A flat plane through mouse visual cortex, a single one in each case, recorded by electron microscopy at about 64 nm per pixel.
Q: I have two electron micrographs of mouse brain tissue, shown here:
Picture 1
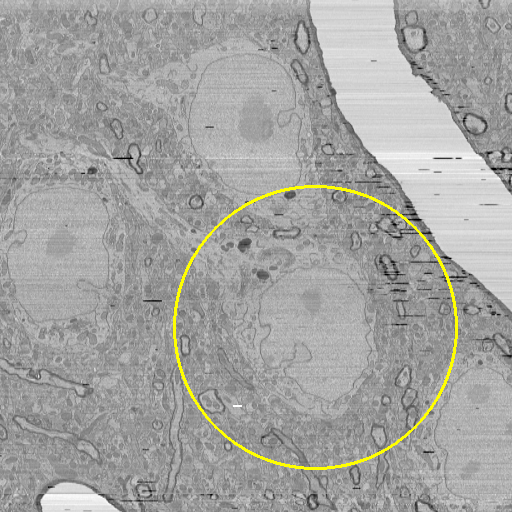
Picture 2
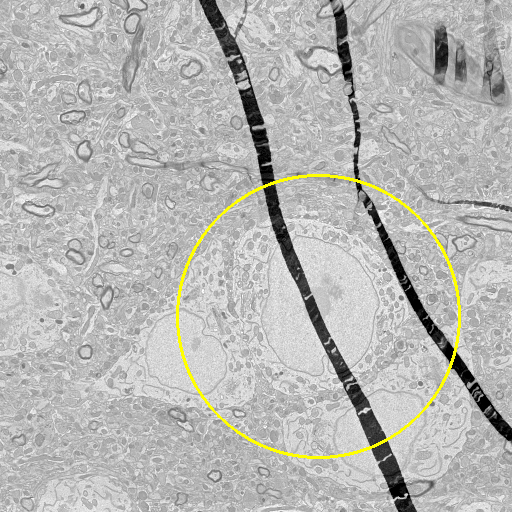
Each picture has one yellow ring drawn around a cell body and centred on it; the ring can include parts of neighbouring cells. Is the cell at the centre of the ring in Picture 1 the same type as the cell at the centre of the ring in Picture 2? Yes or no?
no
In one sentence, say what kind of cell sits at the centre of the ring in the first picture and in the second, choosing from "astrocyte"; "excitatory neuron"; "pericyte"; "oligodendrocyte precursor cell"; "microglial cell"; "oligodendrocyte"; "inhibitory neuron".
The first picture's ringed cell is an excitatory neuron, while the second picture's is an inhibitory neuron.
